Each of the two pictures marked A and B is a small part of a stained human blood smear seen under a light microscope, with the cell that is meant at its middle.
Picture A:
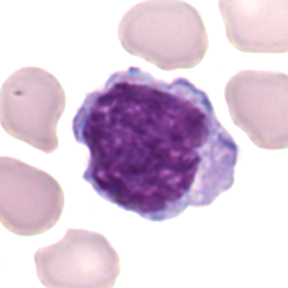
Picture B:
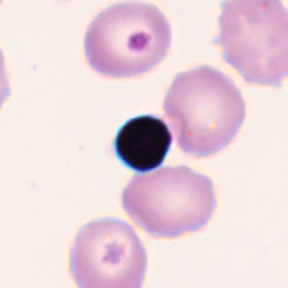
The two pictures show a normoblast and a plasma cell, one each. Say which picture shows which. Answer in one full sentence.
Picture B shows a normoblast, while picture A shows a plasma cell.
